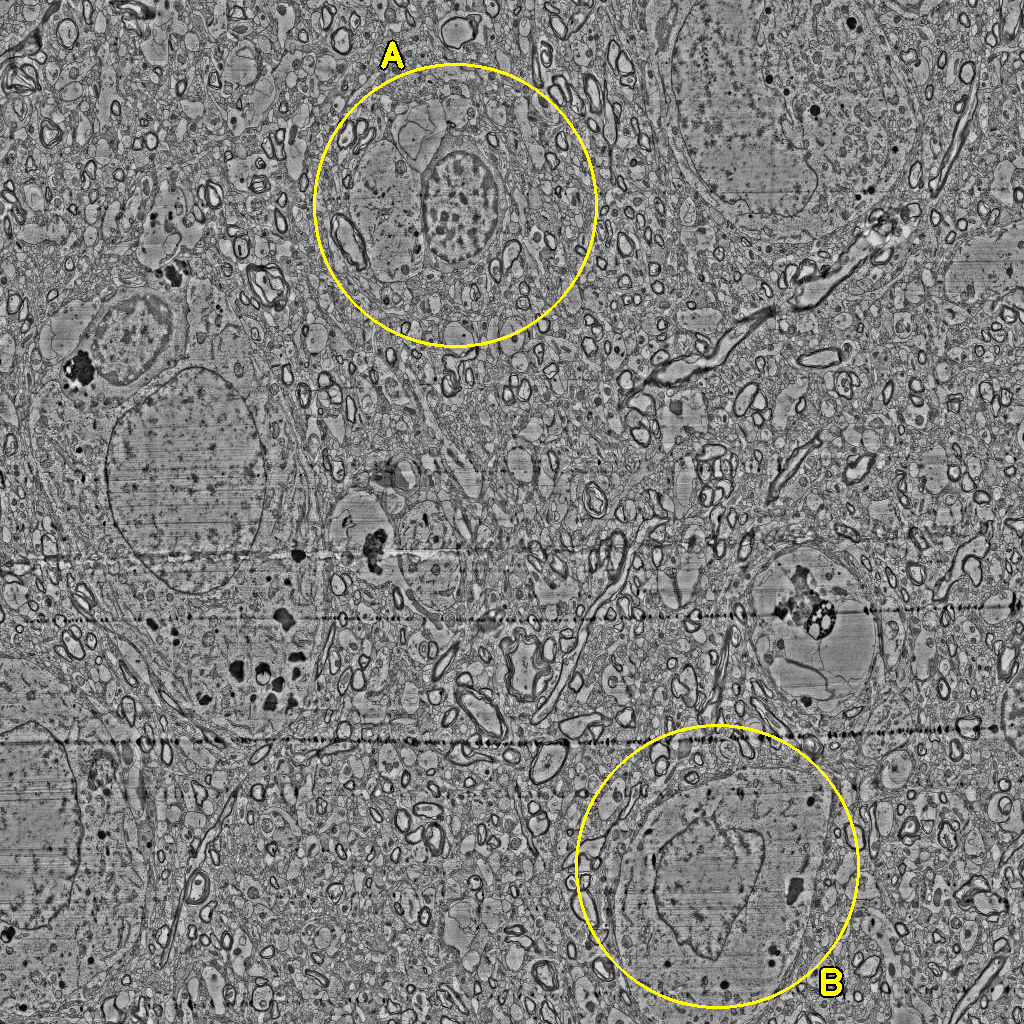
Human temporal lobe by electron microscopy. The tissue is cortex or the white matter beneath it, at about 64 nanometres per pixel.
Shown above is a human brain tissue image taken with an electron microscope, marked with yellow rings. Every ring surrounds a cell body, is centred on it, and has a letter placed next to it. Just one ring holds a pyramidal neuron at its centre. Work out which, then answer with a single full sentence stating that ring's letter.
Ring B is the one whose centre holds a cell of that kind.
